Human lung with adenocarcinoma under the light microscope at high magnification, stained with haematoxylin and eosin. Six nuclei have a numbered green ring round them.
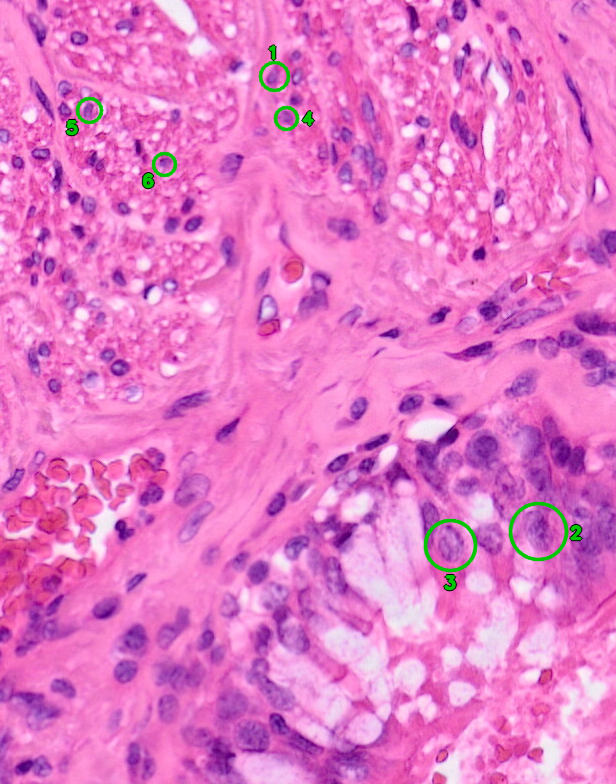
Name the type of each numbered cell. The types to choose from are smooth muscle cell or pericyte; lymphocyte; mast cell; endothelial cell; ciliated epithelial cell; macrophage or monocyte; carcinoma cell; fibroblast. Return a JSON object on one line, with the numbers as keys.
{"1": "smooth muscle cell or pericyte", "2": "ciliated epithelial cell", "3": "ciliated epithelial cell", "4": "smooth muscle cell or pericyte", "5": "smooth muscle cell or pericyte", "6": "smooth muscle cell or pericyte"}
